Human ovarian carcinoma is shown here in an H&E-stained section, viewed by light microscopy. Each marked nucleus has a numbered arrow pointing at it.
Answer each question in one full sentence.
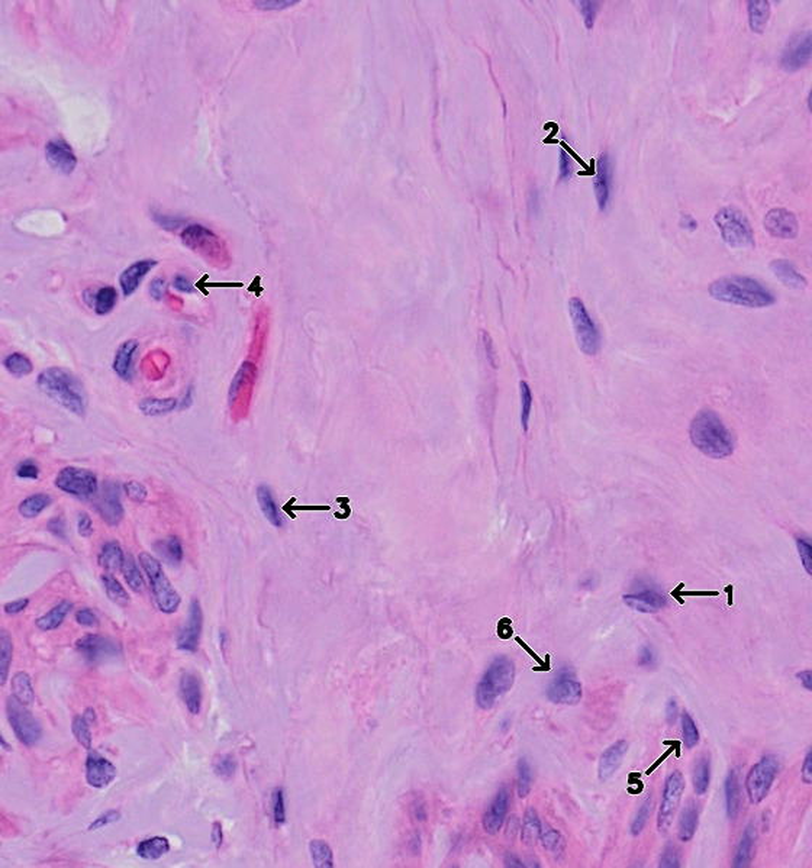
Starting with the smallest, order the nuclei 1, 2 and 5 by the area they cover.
From smallest to largest, the order is 5, 2, 1.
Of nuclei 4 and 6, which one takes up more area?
Of the two, number 6 is bigger and takes up about 2.5 times the area of number 4.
